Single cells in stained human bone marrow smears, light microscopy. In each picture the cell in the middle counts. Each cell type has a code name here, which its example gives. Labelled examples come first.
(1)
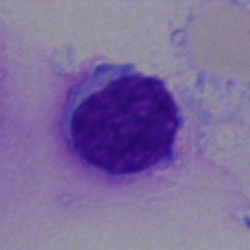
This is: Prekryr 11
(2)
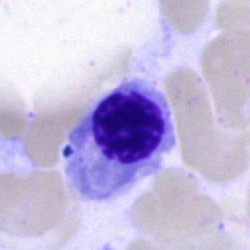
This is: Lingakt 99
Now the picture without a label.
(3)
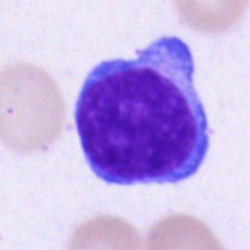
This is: Prekryr 11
